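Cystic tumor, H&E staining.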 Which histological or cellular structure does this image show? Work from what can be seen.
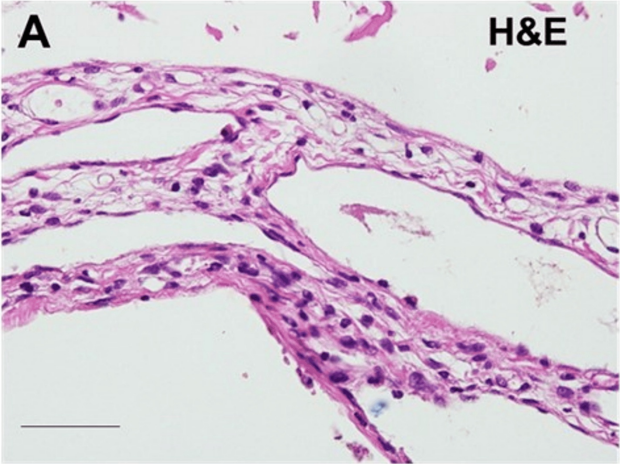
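Thin bands of fibrous tissue run across the field. The bands separate large empty spaces.
Hence: septum.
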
